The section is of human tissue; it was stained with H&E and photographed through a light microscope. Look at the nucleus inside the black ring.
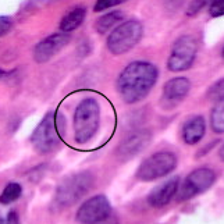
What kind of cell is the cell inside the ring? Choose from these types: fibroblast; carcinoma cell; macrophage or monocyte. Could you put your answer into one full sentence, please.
In the stained section, the cell inside the ring is a macrophage or monocyte.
